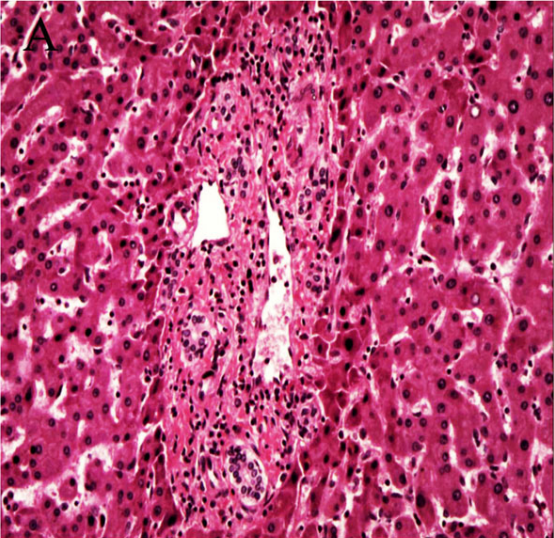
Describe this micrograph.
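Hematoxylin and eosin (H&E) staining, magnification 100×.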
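Cords of polygonal cells with pink cytoplasm and round central nuclei run across the field, separated by narrow pale spaces. In the middle lies a tract of connective tissue with open vessel lumens. This tract is crowded with small cells having dark round nuclei and little cytoplasm. The tract is a portal area, and the dense small cells are an inflammatory infiltrate, mainly lymphocytes.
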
